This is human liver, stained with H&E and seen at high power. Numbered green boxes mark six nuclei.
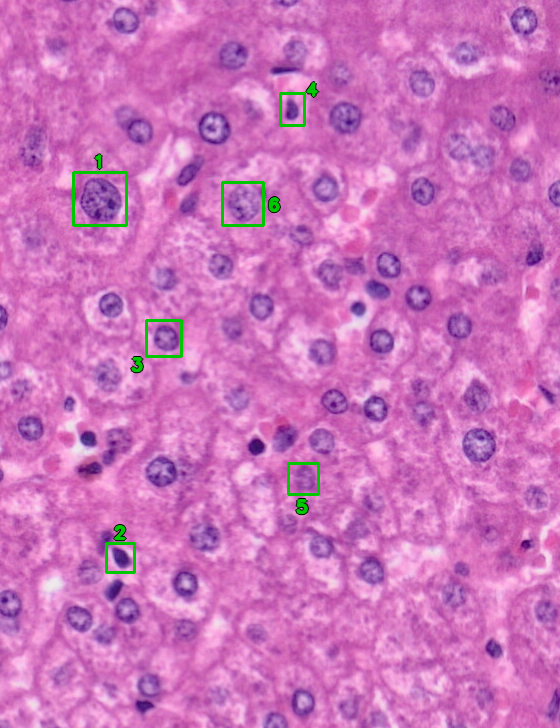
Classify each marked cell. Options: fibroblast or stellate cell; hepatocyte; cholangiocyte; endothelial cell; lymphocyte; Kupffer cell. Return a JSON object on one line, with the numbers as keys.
{"1": "hepatocyte", "2": "lymphocyte", "3": "hepatocyte", "4": "lymphocyte", "5": "hepatocyte", "6": "hepatocyte"}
